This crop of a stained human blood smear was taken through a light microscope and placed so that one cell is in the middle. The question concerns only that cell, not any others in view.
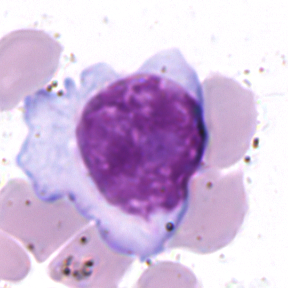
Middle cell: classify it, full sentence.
Centrally within this crop lies a plasma cell.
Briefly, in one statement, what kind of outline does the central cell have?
The cell is bounded by a ragged or projection-bearing margin rather than a smooth one.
